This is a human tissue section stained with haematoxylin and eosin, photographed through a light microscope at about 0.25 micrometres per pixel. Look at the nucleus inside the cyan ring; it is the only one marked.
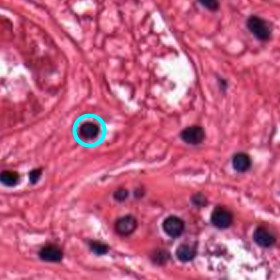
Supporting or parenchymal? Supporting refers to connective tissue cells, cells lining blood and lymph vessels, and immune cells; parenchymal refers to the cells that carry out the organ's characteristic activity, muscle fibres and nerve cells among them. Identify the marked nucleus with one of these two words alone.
supporting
